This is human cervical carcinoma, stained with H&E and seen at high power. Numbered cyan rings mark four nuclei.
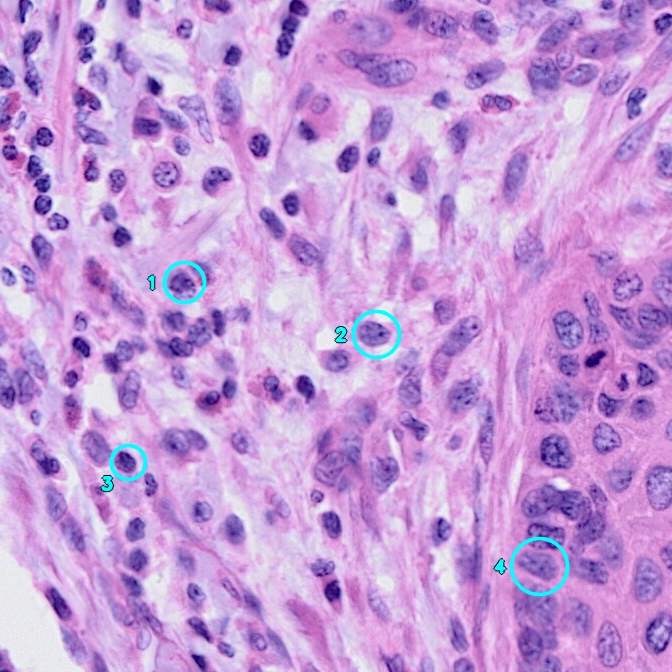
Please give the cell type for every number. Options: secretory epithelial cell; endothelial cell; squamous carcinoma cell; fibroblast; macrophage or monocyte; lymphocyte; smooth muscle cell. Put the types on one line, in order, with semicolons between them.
lymphocyte; macrophage or monocyte; lymphocyte; squamous carcinoma cell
